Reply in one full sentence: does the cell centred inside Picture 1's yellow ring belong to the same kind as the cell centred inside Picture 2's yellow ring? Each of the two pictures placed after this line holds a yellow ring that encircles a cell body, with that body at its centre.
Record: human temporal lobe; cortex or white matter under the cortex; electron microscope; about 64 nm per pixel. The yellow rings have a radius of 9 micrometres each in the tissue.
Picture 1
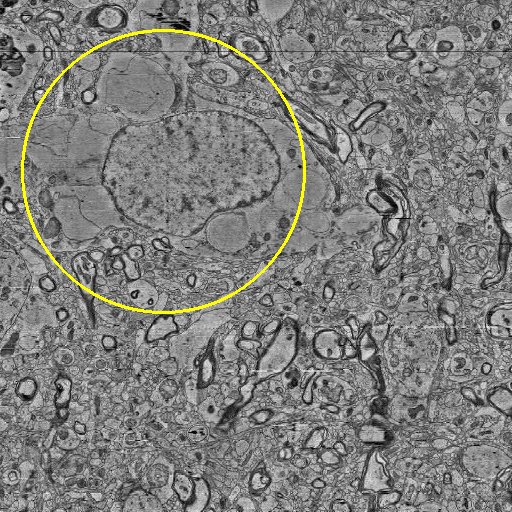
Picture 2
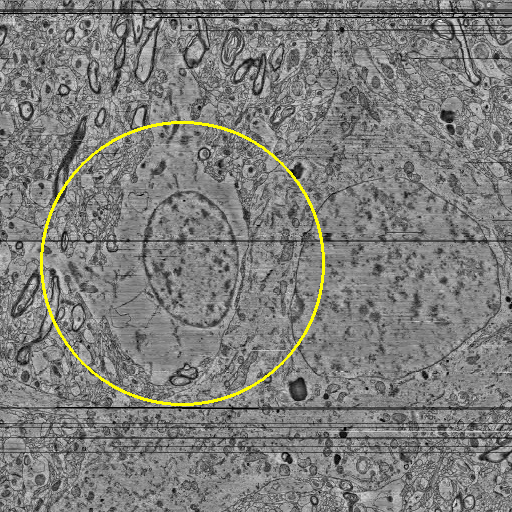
Yes, the ring-centred cells in Picture 1 and Picture 2 are of one and the same kind.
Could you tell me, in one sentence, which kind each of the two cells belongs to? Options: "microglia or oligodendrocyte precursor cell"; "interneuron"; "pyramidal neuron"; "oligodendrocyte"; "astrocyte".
Each cell at the centre of a ring is an astrocyte.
